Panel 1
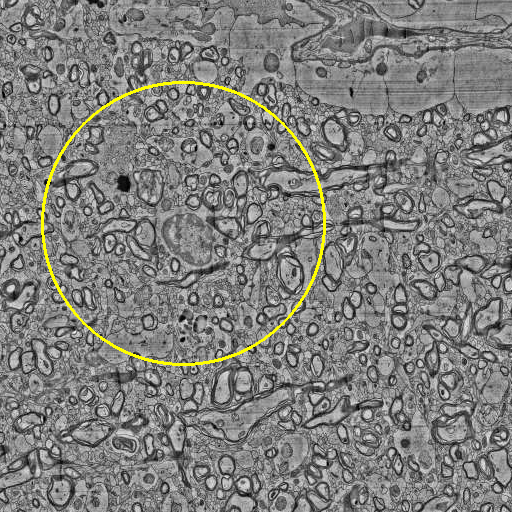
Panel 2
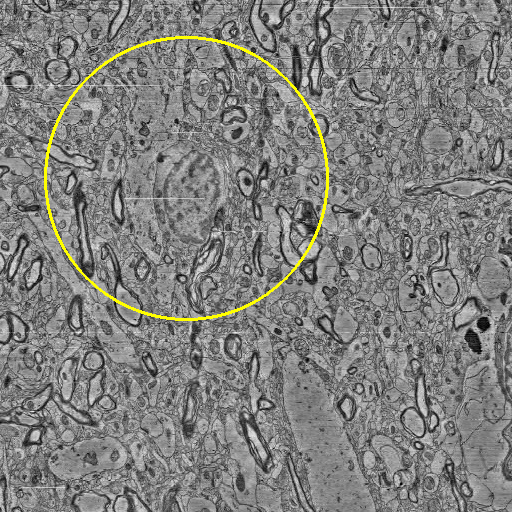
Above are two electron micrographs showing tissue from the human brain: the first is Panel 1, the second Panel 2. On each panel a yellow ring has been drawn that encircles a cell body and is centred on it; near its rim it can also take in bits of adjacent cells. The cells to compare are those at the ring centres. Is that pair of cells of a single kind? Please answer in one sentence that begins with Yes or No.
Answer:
Yes, the ring-centred cells of Panel 1 and Panel 2 belong to one kind.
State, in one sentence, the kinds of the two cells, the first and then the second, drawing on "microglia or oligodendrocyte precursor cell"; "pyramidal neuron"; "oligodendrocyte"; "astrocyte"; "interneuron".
Each cell, in the first picture and the second, is an oligodendrocyte.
